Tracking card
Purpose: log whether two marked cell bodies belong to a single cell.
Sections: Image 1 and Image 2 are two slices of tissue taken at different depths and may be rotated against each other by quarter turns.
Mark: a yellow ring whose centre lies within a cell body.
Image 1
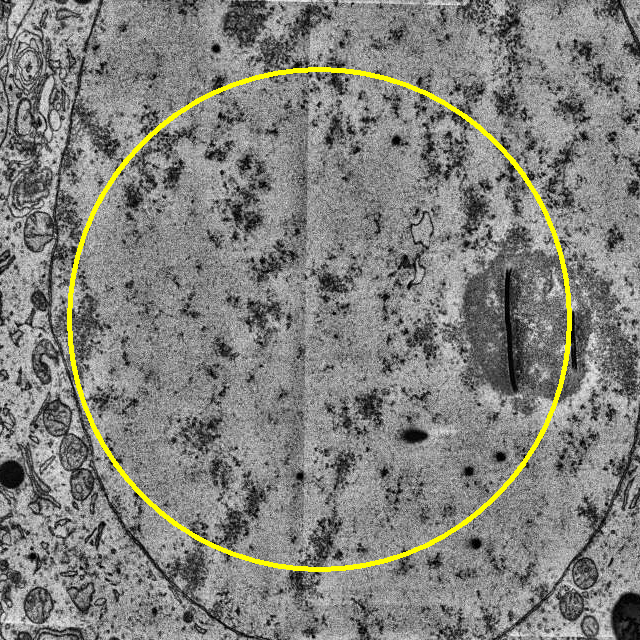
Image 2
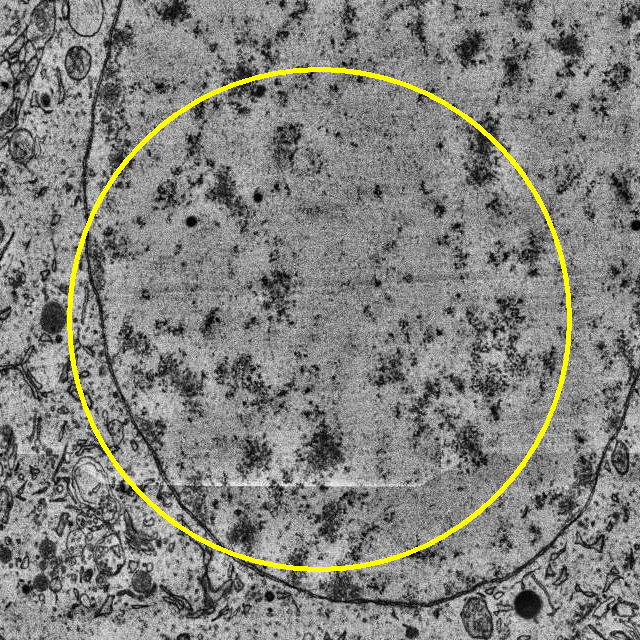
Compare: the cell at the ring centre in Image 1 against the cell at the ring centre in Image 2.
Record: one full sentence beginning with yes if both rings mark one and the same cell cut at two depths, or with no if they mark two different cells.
Yes, the same cell has been marked in both yellow rings.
